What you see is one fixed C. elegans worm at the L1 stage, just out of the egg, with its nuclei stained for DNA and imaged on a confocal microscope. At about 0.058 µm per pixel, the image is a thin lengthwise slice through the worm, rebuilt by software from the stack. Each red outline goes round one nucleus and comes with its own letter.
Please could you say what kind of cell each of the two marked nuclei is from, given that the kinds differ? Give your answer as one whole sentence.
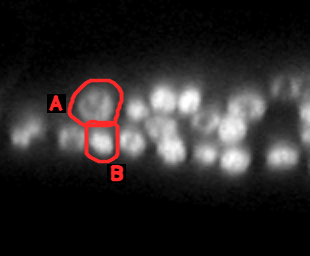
Nucleus A comes from a seam cell and nucleus B from a neuron.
